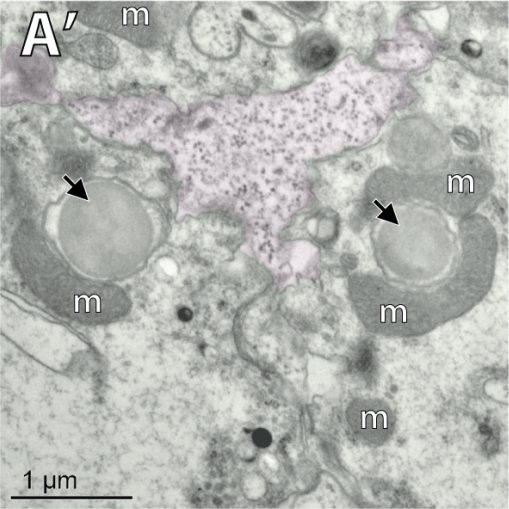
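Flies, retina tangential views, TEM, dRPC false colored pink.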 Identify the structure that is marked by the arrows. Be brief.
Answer: Vesicles within photoreceptors surrounded by a double membrane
